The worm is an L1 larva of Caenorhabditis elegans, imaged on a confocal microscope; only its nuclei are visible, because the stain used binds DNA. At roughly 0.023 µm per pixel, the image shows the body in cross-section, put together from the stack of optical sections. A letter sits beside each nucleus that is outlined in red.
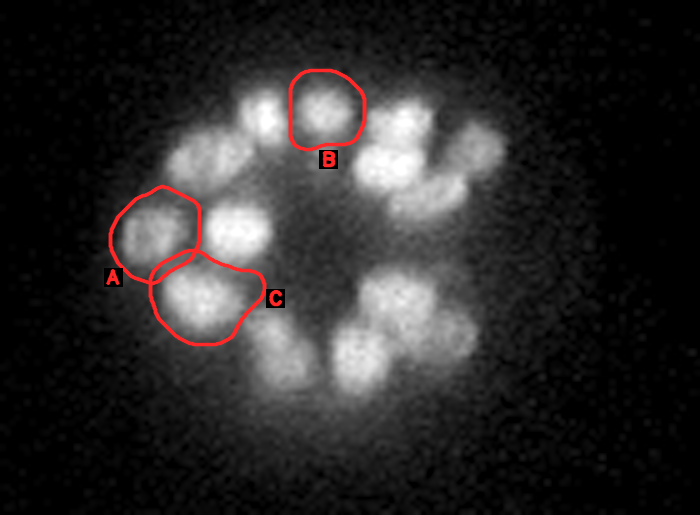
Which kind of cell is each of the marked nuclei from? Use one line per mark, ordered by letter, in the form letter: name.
A: hypodermal cell (hyp)
B: neuron
C: neuron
